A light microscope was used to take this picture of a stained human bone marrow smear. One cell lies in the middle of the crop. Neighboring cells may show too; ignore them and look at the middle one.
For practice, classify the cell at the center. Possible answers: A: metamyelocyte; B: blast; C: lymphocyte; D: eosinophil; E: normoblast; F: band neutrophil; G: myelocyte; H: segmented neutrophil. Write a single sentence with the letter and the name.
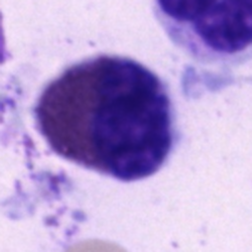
The cell in the middle is correctly identified as an eosinophil in option D.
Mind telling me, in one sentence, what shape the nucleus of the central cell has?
Please observe that the nucleus consists of one compact round, oval or kidney-shaped mass.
